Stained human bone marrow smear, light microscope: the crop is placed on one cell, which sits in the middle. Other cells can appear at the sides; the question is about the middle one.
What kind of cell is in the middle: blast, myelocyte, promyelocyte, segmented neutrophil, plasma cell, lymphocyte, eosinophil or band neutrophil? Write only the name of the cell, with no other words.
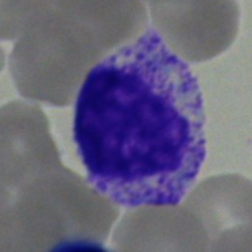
myelocyte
